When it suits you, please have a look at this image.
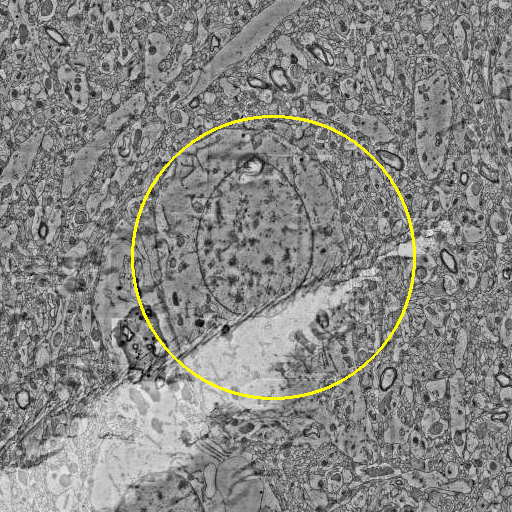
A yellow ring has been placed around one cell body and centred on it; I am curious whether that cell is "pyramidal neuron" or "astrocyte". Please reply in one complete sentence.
The ringed cell, a pyramidal neuron, has its body at the centre of the yellow ring.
